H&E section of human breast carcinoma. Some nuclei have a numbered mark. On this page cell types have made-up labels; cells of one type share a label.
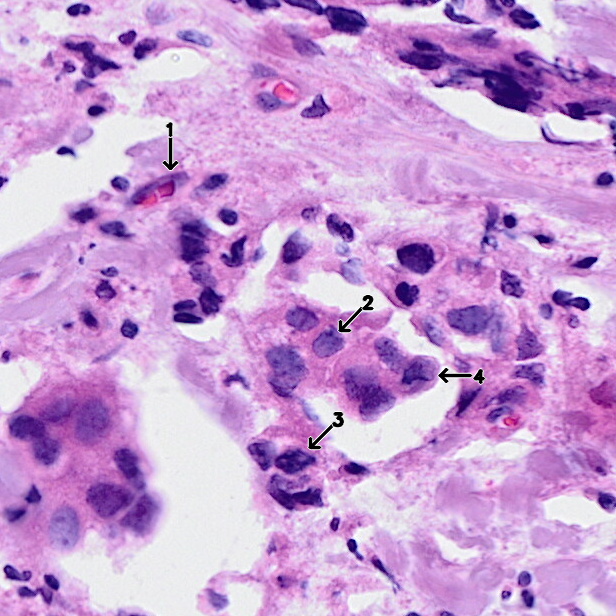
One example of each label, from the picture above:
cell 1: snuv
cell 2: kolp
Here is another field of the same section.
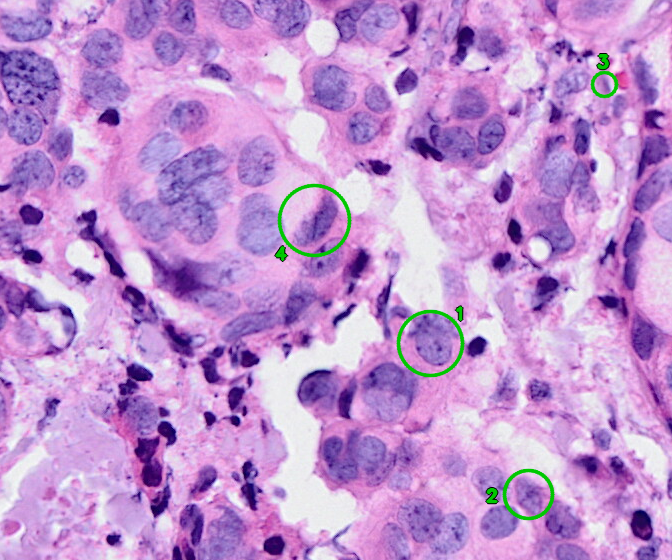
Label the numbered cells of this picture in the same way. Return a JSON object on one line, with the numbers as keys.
{"1": "kolp", "2": "kolp", "3": "snuv", "4": "kolp"}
